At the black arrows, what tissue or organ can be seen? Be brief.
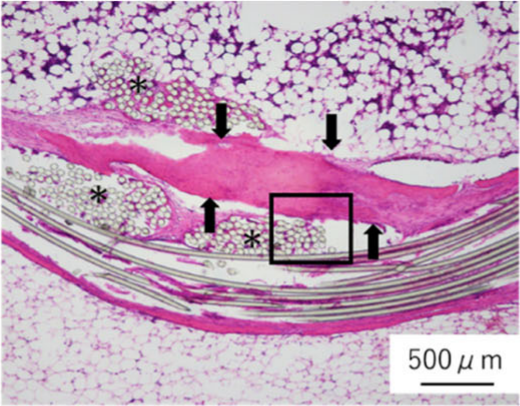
Newly formed bone.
